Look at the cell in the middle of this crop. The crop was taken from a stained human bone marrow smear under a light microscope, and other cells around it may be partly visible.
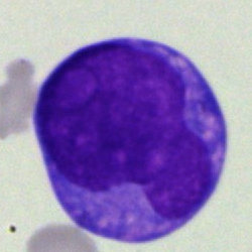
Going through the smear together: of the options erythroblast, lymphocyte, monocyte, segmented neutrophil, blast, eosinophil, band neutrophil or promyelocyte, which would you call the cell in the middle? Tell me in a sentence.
Regarding the central cell, it is a blast.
